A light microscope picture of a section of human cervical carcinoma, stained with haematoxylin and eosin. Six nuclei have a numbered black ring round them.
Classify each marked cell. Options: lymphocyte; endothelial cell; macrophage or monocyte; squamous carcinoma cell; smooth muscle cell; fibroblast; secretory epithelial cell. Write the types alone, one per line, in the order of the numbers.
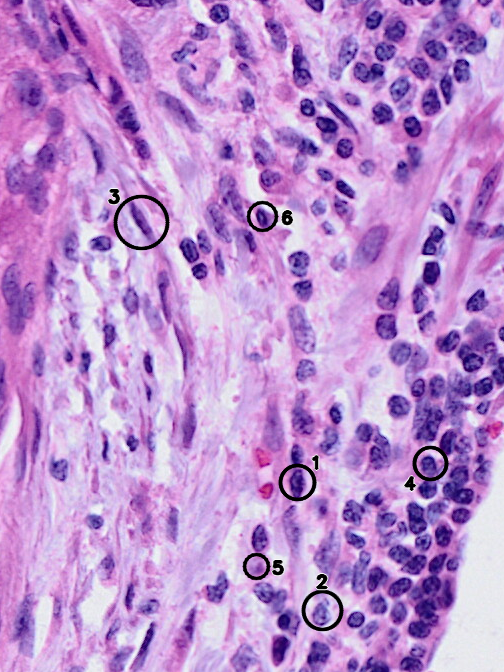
lymphocyte
lymphocyte
fibroblast
lymphocyte
macrophage or monocyte
lymphocyte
